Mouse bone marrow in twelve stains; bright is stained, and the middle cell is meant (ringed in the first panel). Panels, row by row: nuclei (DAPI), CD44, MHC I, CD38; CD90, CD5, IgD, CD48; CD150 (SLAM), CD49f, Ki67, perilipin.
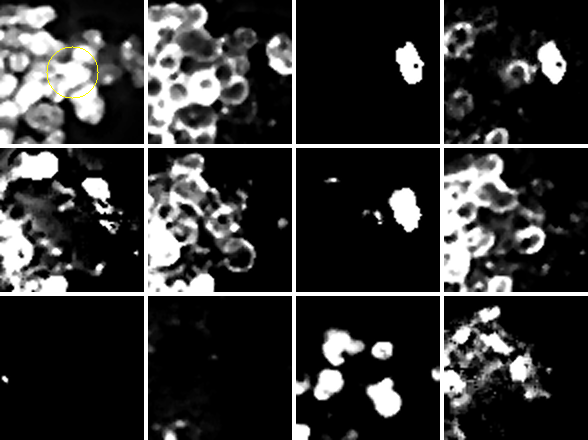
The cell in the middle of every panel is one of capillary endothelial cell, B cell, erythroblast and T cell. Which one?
B cell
